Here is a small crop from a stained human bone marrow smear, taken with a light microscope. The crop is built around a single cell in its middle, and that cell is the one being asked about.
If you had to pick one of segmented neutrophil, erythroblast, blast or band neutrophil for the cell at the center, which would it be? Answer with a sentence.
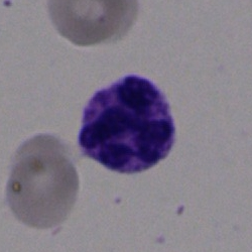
The crop centres on a single cell, and that cell is a segmented neutrophil.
